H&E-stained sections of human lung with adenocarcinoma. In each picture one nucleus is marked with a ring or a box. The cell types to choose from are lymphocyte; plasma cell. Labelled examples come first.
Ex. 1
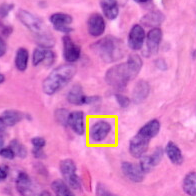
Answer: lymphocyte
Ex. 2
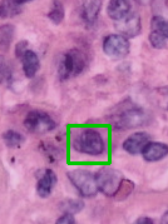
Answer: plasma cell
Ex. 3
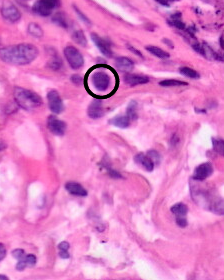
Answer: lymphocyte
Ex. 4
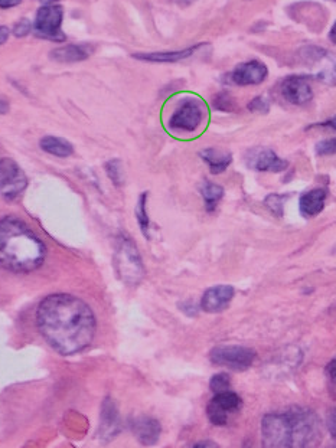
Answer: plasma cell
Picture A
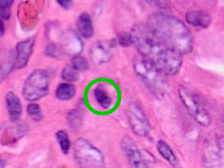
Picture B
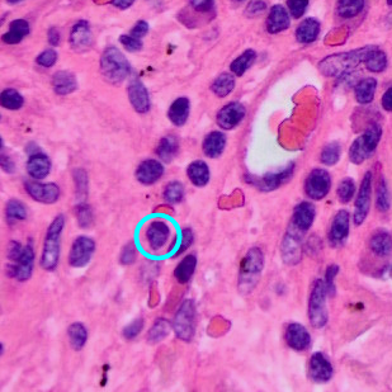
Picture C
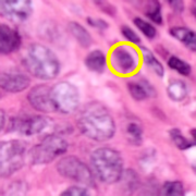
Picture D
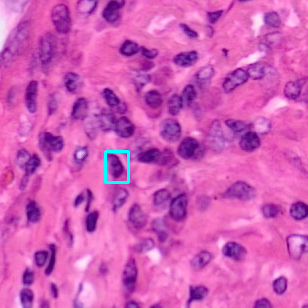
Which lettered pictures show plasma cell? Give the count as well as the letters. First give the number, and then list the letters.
2, namely C, D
